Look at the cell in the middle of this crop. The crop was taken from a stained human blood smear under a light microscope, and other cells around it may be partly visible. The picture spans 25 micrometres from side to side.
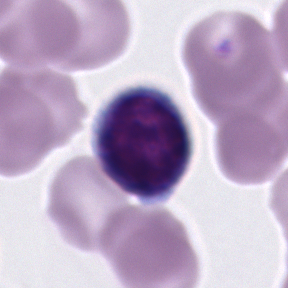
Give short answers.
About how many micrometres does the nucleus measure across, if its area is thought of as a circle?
8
